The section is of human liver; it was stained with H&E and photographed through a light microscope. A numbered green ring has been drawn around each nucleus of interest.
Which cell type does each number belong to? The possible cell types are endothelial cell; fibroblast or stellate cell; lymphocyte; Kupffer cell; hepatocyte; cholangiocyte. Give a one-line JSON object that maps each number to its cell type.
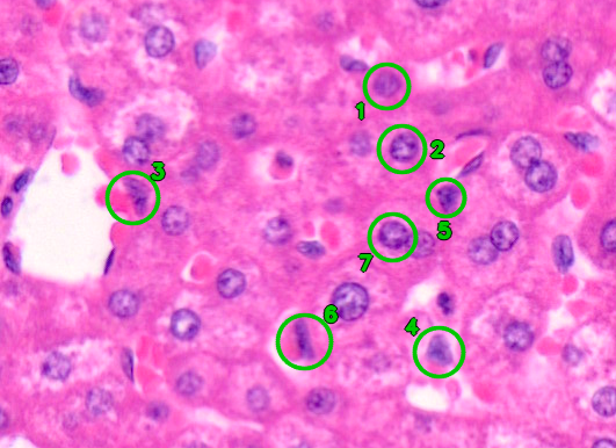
{"1": "hepatocyte", "2": "hepatocyte", "3": "fibroblast or stellate cell", "4": "endothelial cell", "5": "fibroblast or stellate cell", "6": "Kupffer cell", "7": "hepatocyte"}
